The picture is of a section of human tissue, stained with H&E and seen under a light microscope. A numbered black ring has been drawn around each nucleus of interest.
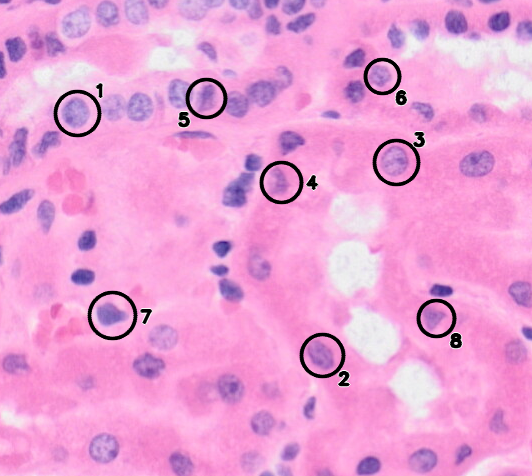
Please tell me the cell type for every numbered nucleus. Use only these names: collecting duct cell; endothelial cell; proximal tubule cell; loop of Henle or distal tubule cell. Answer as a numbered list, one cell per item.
1. collecting duct cell
2. proximal tubule cell
3. proximal tubule cell
4. proximal tubule cell
5. collecting duct cell
6. loop of Henle or distal tubule cell
7. endothelial cell
8. proximal tubule cell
